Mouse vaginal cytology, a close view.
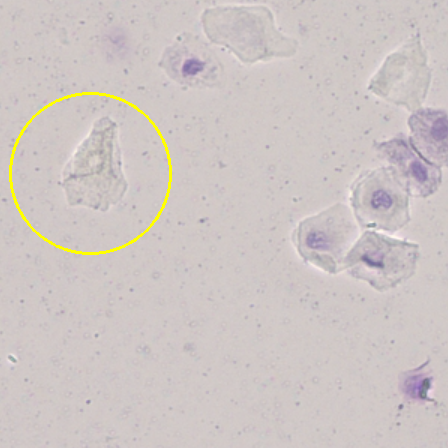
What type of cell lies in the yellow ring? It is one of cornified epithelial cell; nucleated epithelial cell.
The ringed cell is a cornified epithelial cell.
